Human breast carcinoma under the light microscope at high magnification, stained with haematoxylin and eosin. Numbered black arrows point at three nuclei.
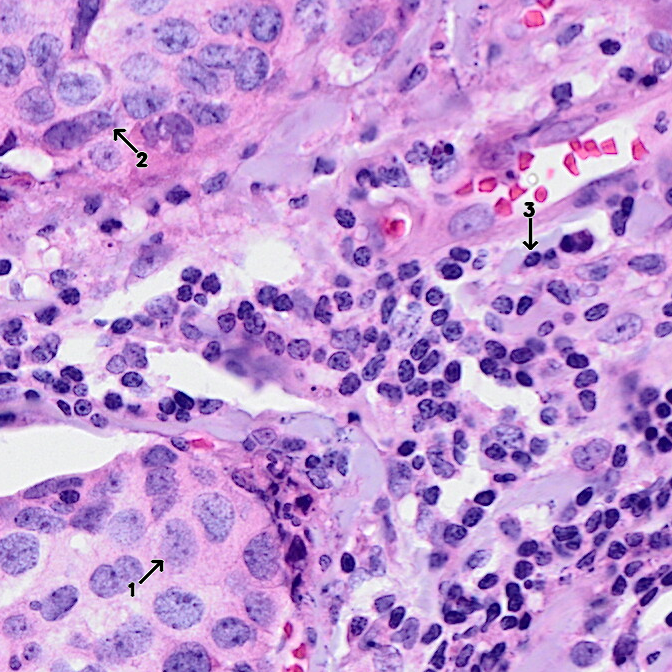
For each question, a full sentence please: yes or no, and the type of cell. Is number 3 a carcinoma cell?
No, the cell indicated by 3 is a lymphocyte instead of a carcinoma cell.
